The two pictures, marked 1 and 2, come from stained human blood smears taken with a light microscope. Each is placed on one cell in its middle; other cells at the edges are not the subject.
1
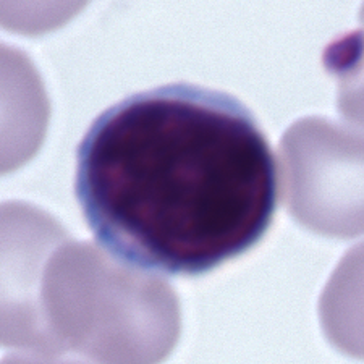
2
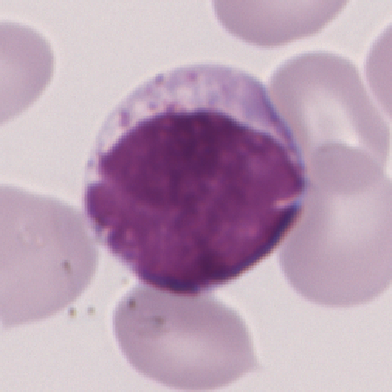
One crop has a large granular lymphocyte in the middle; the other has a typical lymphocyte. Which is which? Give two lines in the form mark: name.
1: typical lymphocyte
2: large granular lymphocyte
